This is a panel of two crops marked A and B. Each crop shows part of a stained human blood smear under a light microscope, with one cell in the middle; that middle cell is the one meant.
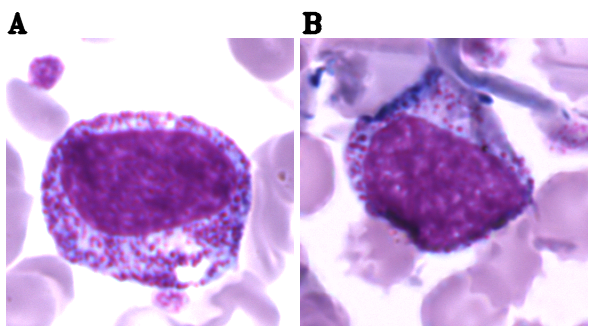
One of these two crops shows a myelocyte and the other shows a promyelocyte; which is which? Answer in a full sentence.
Crop A is classified as a promyelocyte, and crop B as a myelocyte.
